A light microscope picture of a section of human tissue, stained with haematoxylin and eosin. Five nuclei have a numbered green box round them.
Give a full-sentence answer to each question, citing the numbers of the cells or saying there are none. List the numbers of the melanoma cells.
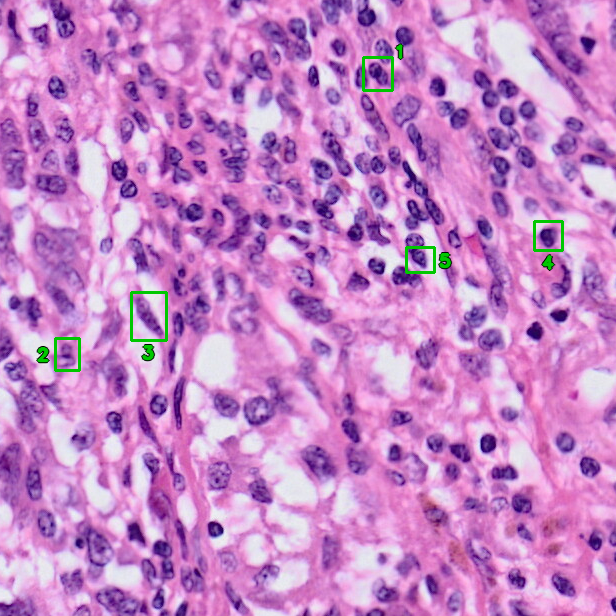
Only the cell carrying number 3 is a melanoma cell.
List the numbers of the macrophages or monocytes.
With the exception of cell 2, no marked cell is a macrophage or monocyte.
